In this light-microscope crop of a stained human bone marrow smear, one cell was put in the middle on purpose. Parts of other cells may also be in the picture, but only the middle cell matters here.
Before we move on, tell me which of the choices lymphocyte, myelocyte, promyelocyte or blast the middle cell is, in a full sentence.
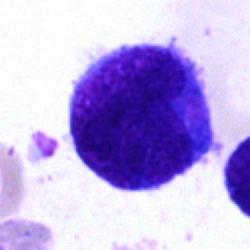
The cell positioned in the middle of the field is a blast.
